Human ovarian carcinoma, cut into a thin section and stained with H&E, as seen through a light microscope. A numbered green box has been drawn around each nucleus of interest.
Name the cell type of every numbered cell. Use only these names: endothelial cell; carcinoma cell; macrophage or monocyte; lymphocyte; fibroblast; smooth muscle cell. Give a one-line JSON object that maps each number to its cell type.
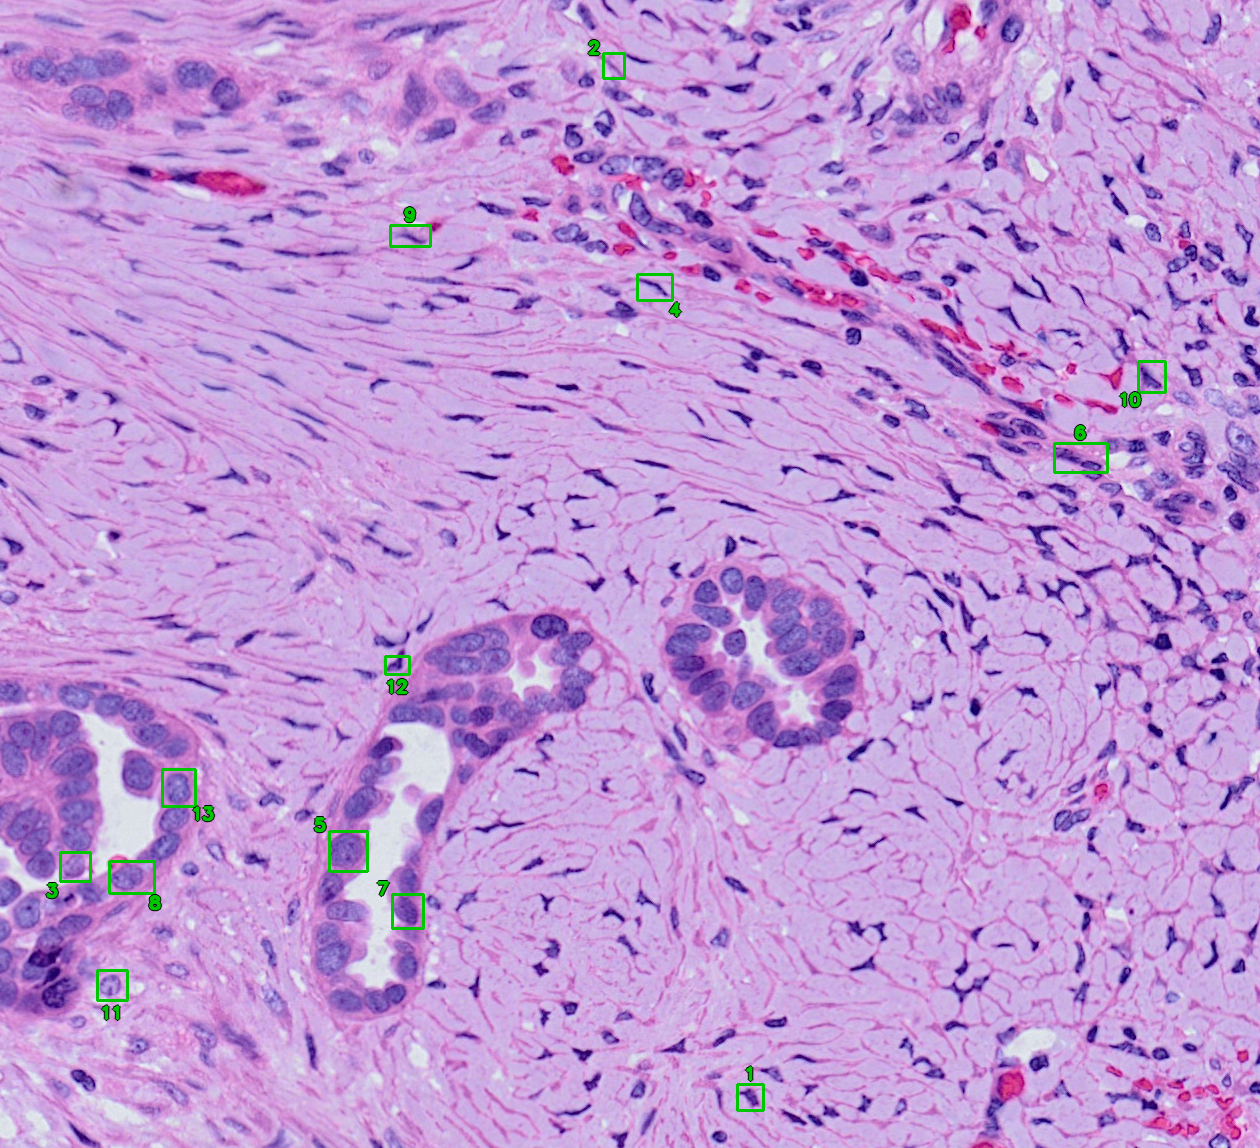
{"1": "fibroblast", "2": "fibroblast", "3": "carcinoma cell", "4": "fibroblast", "5": "carcinoma cell", "6": "endothelial cell", "7": "carcinoma cell", "8": "carcinoma cell", "9": "fibroblast", "10": "fibroblast", "11": "macrophage or monocyte", "12": "fibroblast", "13": "carcinoma cell"}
